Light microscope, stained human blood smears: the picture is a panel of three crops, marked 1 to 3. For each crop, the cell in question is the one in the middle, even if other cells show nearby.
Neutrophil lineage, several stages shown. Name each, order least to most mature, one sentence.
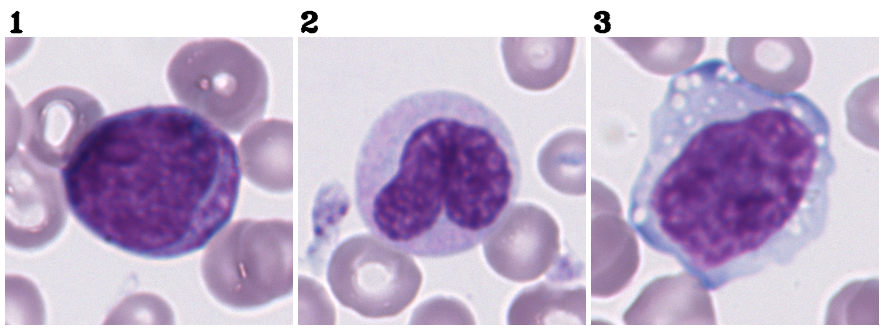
Sequenced by maturity, least first, the crops are crop 3 (a blast), crop 1 (a promyelocyte) and crop 2 (a band neutrophil).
